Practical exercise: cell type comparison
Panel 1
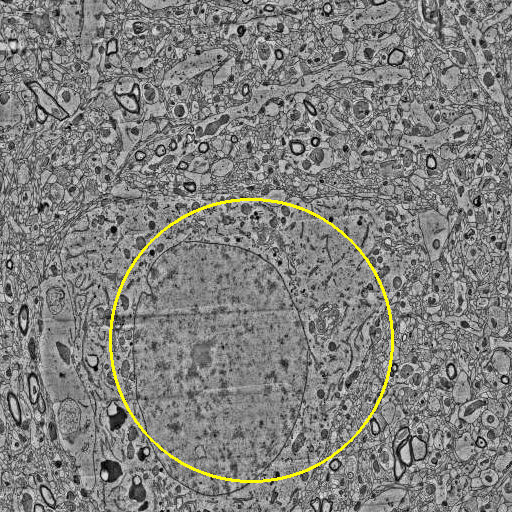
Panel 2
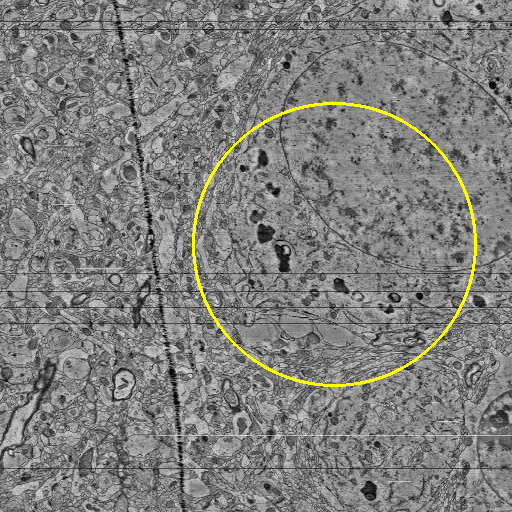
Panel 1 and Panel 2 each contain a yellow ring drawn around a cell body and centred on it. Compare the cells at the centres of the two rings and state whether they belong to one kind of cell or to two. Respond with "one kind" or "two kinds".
one kind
